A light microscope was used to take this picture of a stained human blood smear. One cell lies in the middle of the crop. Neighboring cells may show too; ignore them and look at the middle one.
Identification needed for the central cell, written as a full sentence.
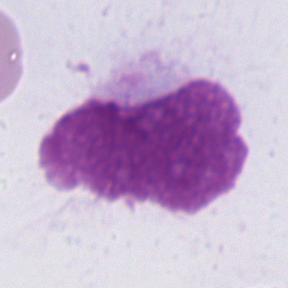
Regarding the central cell, it is a smudge cell.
